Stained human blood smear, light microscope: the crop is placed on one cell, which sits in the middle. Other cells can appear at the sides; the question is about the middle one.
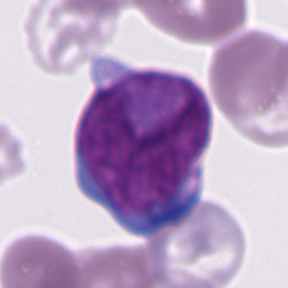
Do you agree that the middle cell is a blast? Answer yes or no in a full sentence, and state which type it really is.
Yes, the identification of the central cell as a blast is correct.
